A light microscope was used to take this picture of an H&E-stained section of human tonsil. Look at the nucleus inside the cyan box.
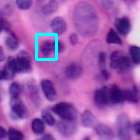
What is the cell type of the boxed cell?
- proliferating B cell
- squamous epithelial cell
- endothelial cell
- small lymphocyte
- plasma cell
endothelial cell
